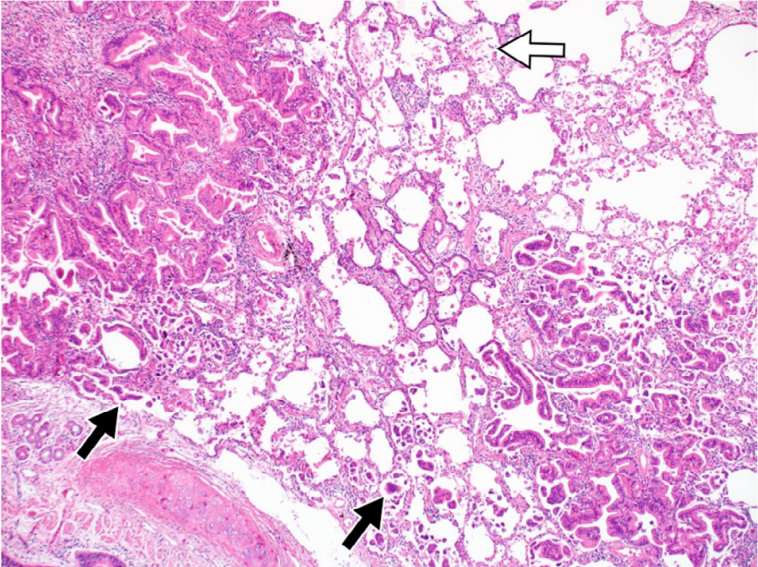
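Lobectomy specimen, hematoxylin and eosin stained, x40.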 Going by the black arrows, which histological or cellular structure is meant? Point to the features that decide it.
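Small clusters of cells lie free within the air spaces, detached from the alveolar walls. The clusters stain darker purple than the surrounding thin alveolar septa. On this evidence: tiny tumor cell nests.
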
